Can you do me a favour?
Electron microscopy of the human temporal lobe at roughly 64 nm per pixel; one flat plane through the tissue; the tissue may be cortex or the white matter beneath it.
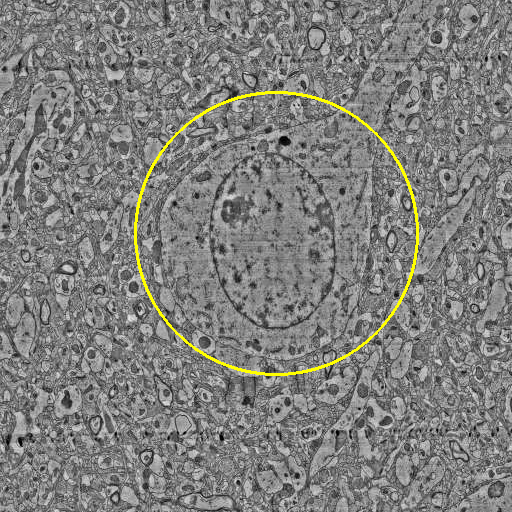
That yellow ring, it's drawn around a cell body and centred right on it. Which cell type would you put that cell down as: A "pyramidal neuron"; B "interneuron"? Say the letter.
A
